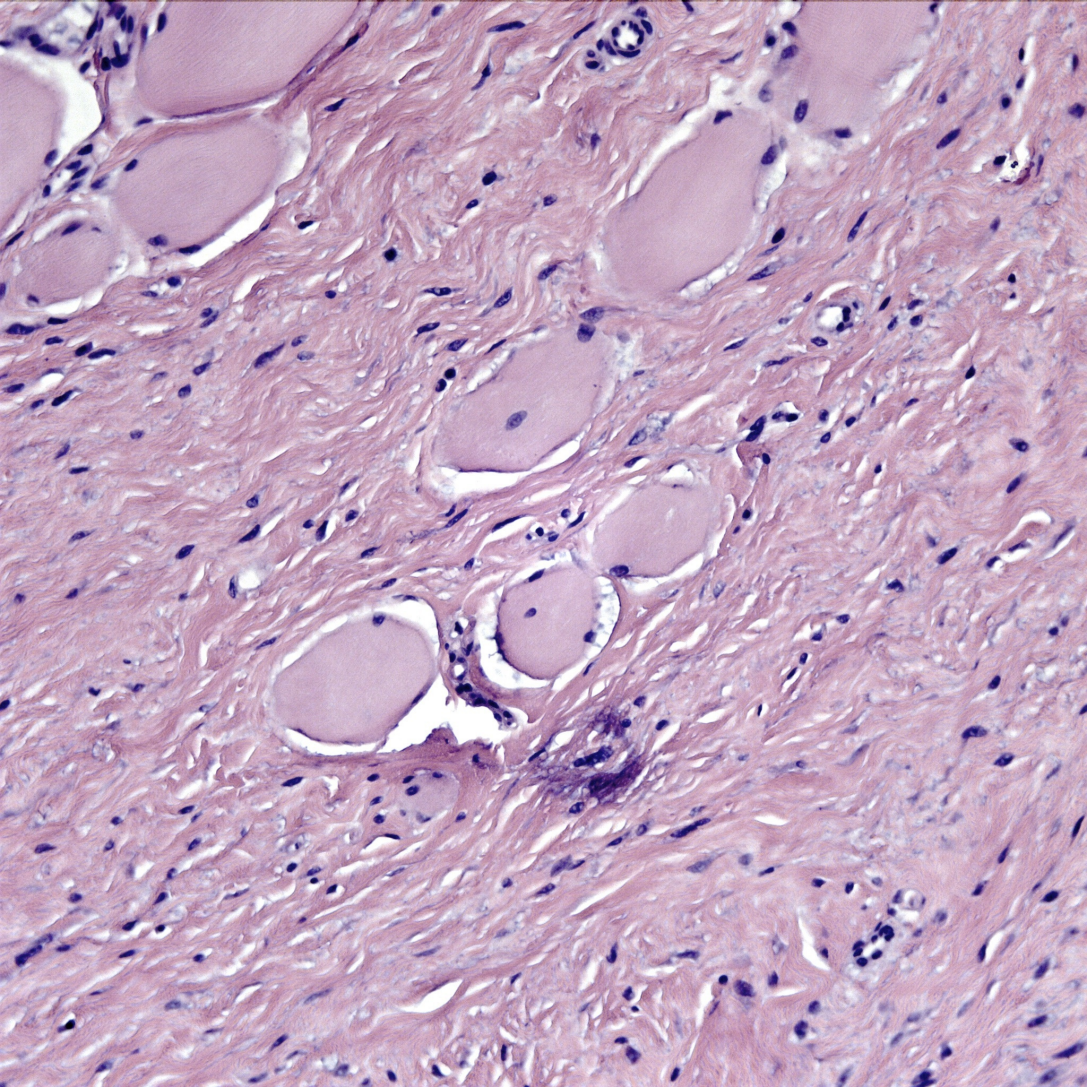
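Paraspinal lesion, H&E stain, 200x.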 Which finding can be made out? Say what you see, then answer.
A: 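Pink fibrous tissue with scattered spindle-shaped nuclei fills the spaces between the large pink profiles. The large pink profiles lie isolated and widely separated by this tissue.
Answer: infiltrative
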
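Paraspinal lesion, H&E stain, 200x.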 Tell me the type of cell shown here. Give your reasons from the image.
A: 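Skeletal muscle fibers. Large, rounded to polygonal, homogeneous pink profiles in cross-section. They are much larger than the surrounding spindle cells.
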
